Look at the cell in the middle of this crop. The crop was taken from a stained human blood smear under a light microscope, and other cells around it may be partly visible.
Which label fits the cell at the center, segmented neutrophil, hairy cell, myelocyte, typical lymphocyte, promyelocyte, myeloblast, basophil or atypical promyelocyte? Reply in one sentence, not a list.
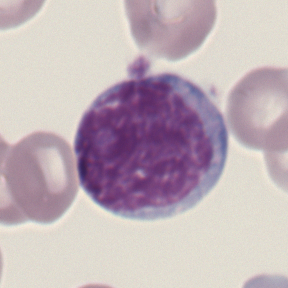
The cell found in the middle of this crop is a myeloblast.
